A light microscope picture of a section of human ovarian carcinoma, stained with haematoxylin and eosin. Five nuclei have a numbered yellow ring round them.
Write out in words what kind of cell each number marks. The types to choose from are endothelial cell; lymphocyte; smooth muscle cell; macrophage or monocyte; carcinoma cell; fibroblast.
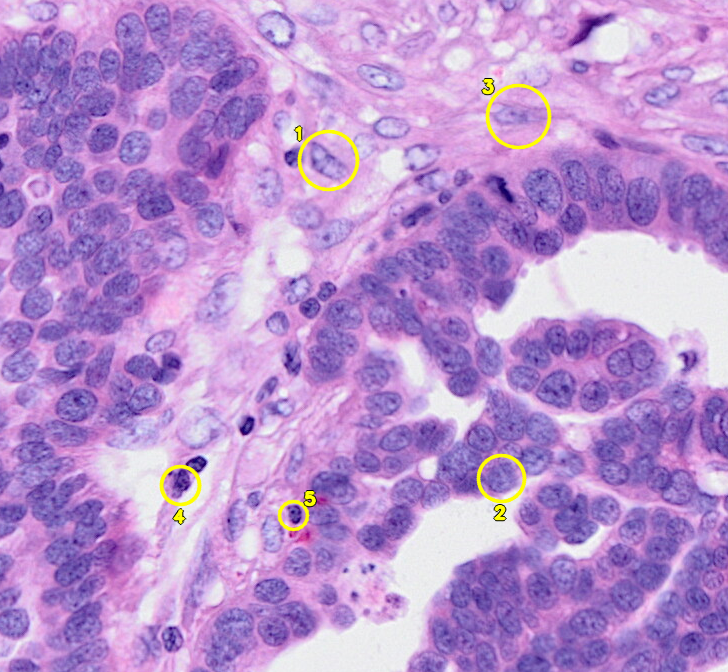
Cells 1 and 3 are fibroblasts. Cell 2 is a carcinoma cell. Cell 4 is a macrophage or monocyte. Cell 5 is a lymphocyte.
